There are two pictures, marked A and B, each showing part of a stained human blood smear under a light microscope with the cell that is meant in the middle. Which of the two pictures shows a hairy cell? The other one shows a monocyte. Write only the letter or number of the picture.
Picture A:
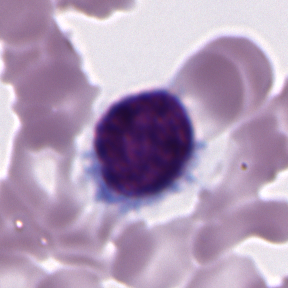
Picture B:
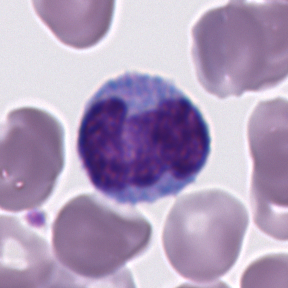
A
